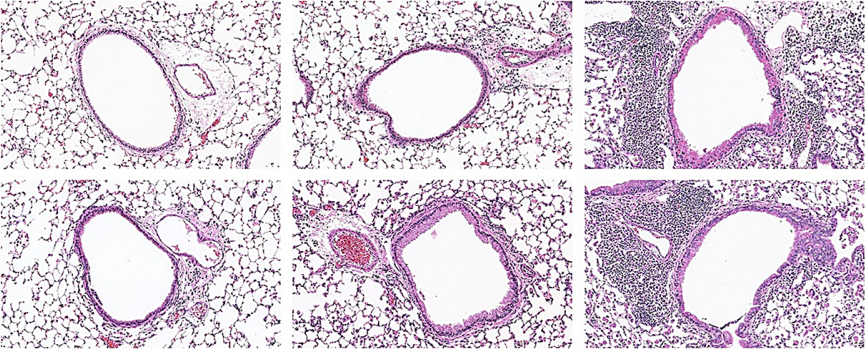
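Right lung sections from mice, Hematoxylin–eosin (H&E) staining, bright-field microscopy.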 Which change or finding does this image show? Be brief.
Inflammatory responses around airways.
